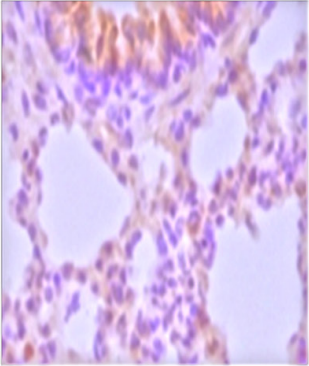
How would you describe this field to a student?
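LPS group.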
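This is lung tissue with an airway lining at the top and alveoli below. Scattered cells in the septa are more darkly brown. The alveolar walls are somewhat cellular but the air spaces remain open.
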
